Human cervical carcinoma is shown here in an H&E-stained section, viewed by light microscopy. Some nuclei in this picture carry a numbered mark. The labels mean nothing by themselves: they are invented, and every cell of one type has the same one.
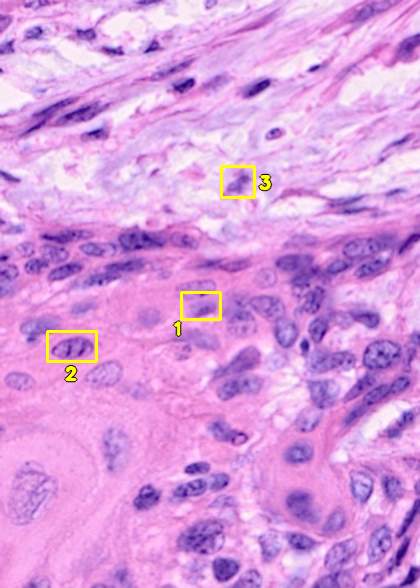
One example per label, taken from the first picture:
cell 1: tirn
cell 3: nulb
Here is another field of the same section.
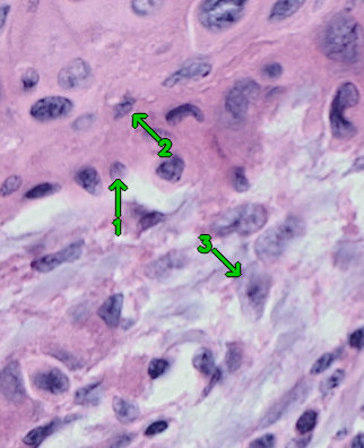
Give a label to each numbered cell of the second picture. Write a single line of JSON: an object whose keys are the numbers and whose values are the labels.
{"1": "tirn", "2": "tirn", "3": "nulb"}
